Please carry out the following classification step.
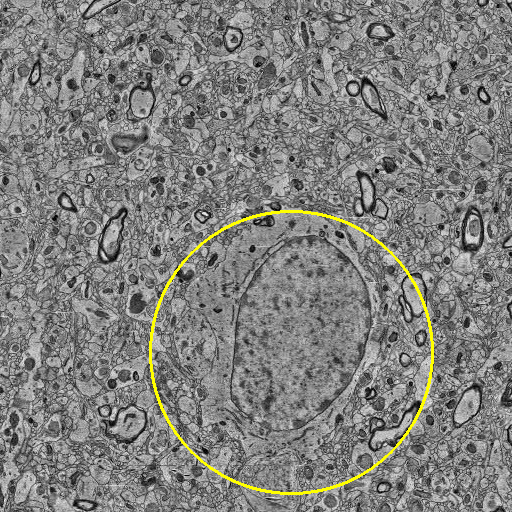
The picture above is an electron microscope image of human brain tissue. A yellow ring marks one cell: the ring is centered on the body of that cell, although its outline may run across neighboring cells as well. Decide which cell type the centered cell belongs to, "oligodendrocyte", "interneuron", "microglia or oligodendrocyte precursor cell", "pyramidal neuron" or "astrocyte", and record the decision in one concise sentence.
The cell centered in the yellow ring is a microglial cell or oligodendrocyte precursor cell.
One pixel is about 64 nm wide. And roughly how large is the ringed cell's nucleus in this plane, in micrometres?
About 13 by 9 micrometres in this plane; clearly longer than it is wide.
